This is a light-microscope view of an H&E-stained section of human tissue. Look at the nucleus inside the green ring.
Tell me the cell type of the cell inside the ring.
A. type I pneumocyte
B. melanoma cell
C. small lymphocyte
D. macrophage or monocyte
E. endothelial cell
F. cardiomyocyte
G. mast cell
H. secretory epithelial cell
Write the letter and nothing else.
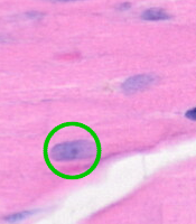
F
